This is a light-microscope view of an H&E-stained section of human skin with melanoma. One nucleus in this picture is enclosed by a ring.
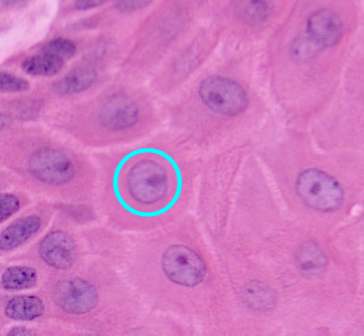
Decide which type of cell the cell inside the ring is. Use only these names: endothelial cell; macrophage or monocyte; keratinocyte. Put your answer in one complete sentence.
Within this tissue, the cell inside the ring is a keratinocyte.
